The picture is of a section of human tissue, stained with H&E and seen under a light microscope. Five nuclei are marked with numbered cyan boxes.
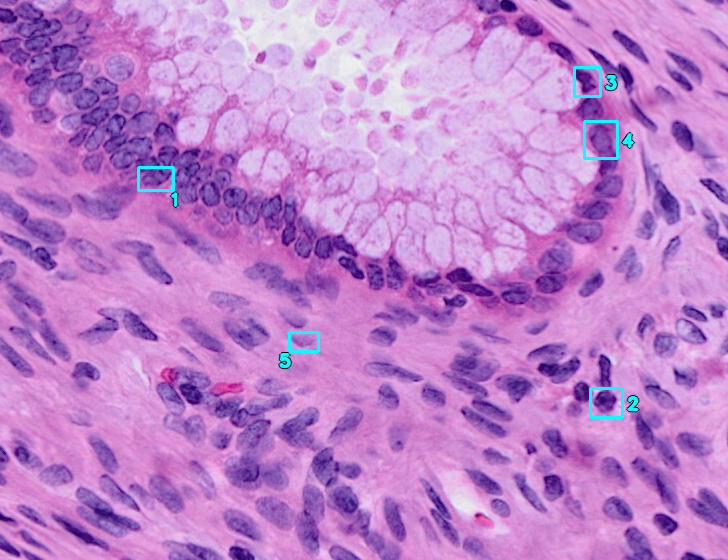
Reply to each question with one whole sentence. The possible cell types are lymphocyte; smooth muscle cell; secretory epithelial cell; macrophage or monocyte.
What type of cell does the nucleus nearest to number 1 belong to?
Number 1 lies closest to the nucleus of a secretory epithelial cell.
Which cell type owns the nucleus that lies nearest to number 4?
The nearest nucleus to number 4 belongs to a secretory epithelial cell.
